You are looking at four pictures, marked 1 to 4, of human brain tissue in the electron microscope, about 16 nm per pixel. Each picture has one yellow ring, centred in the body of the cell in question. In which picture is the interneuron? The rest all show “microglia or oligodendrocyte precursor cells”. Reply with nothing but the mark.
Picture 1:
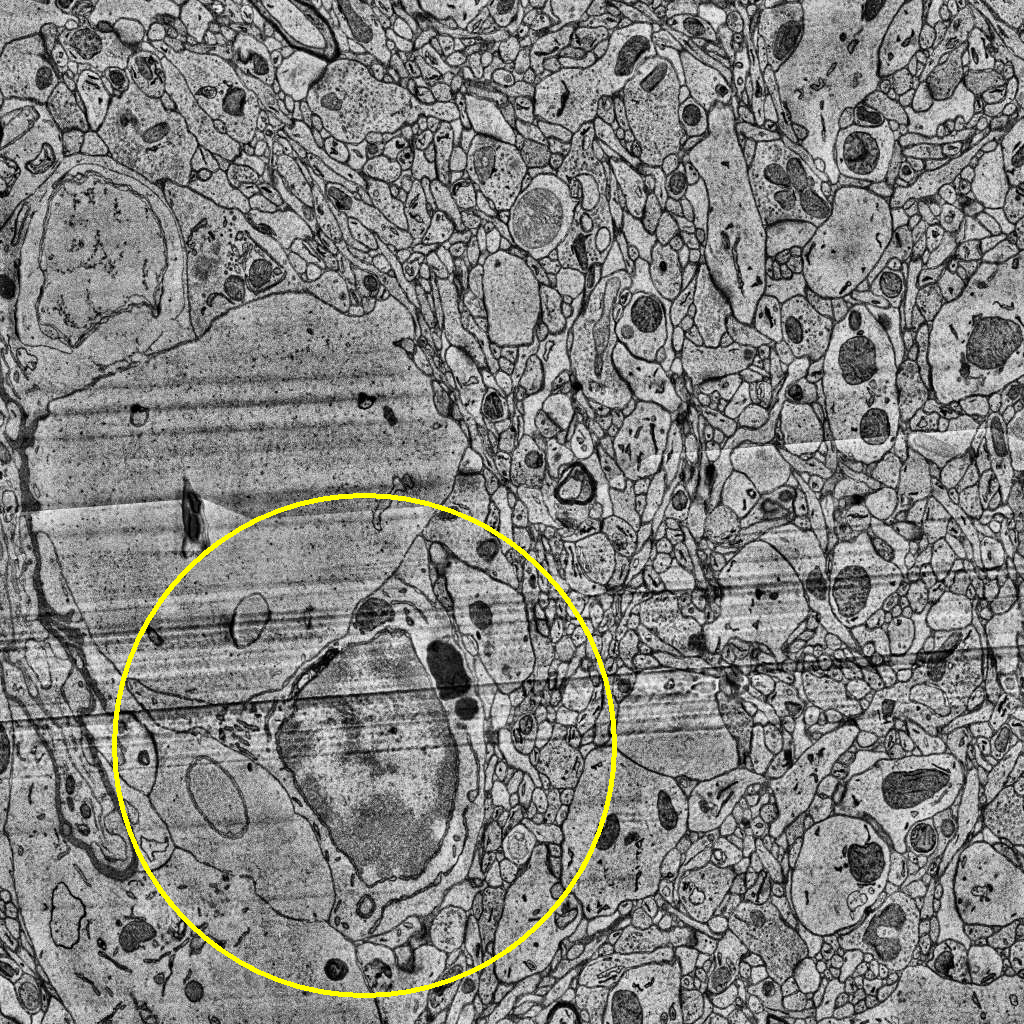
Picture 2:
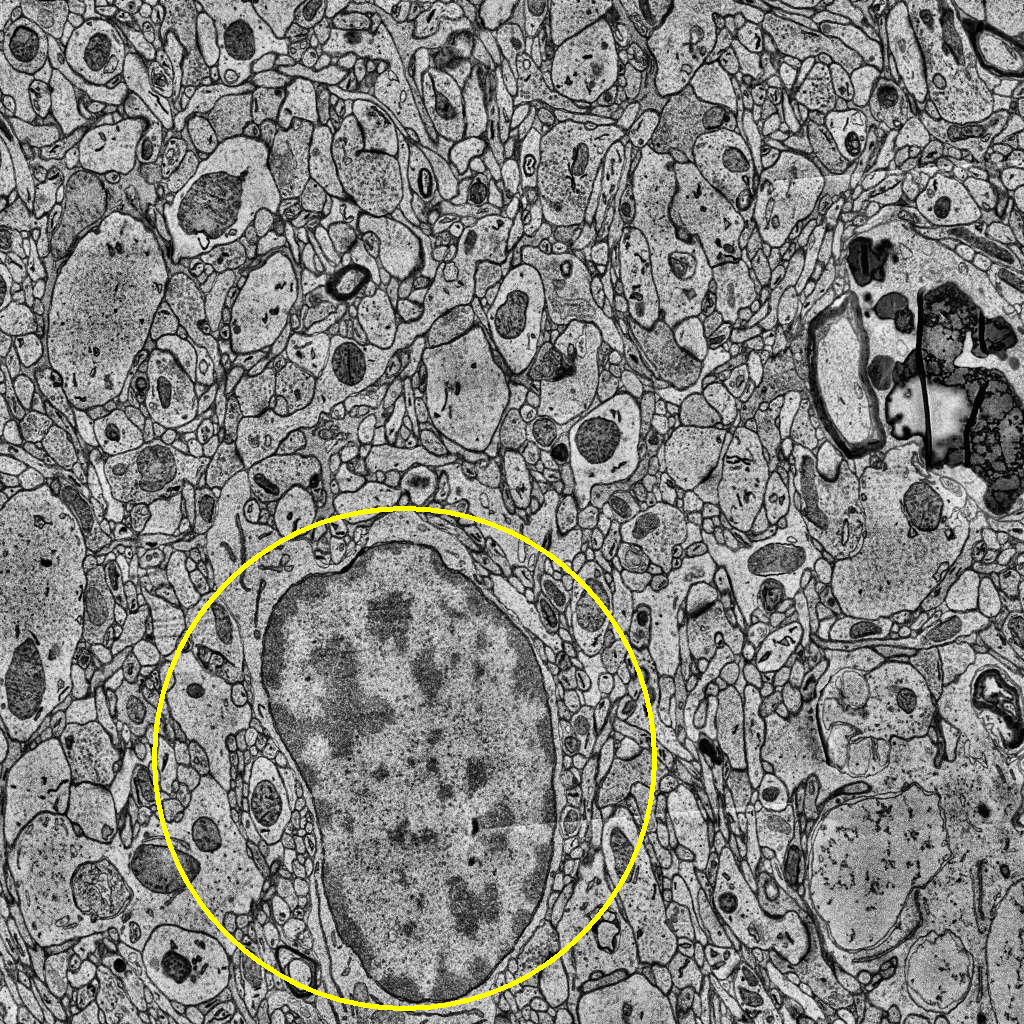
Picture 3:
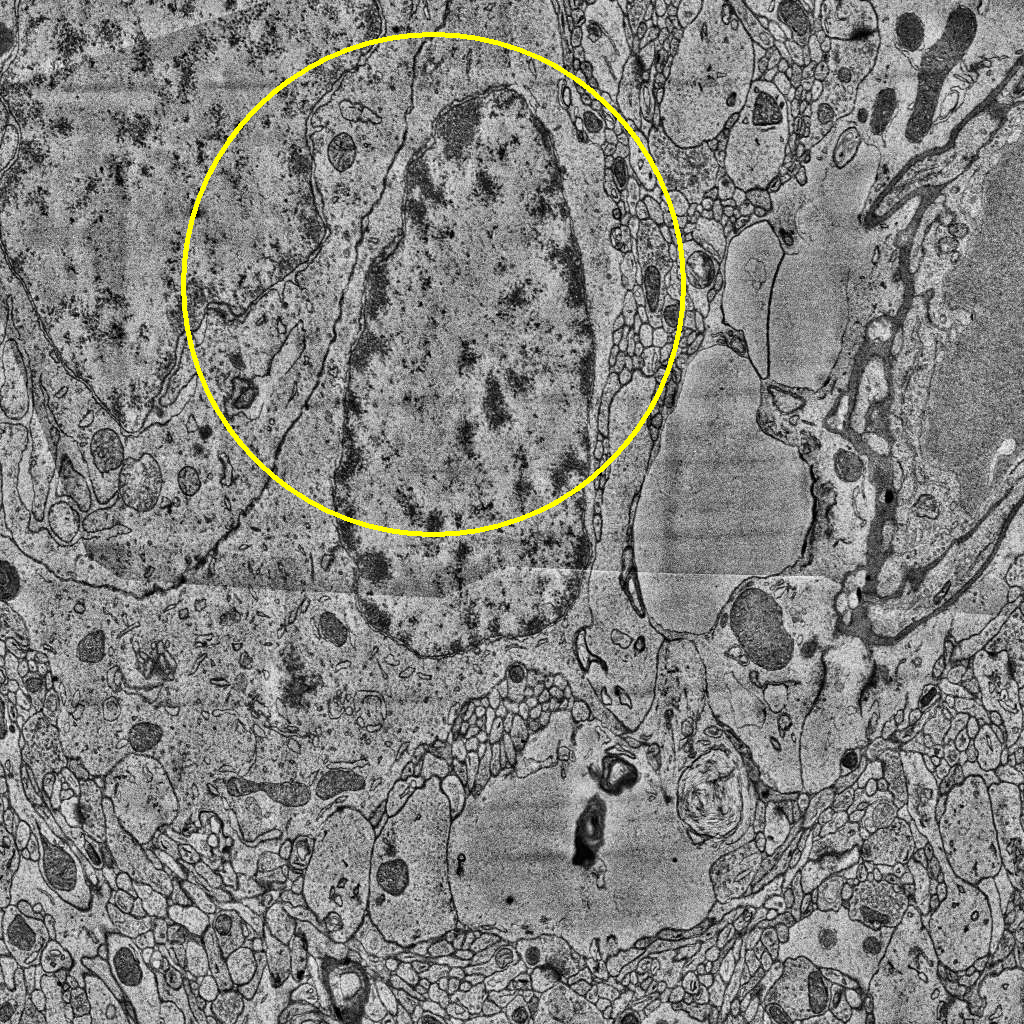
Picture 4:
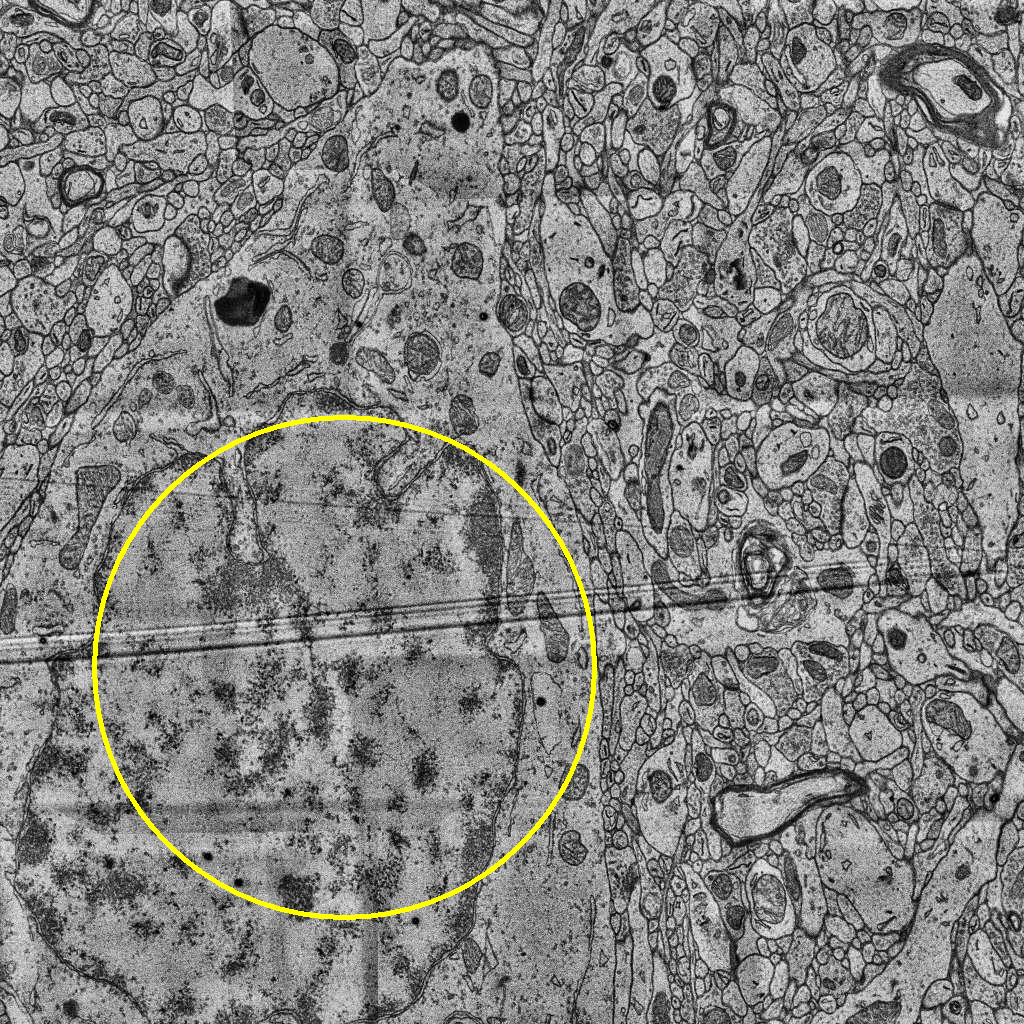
4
